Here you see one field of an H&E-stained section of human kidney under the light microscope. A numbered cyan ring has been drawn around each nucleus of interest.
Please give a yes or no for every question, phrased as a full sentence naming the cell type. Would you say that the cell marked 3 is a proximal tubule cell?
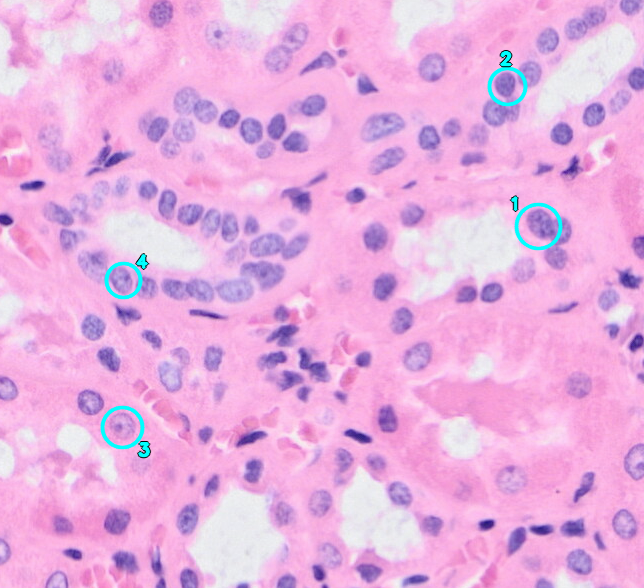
Yes, that one, number 3, is a proximal tubule cell.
